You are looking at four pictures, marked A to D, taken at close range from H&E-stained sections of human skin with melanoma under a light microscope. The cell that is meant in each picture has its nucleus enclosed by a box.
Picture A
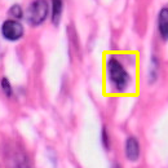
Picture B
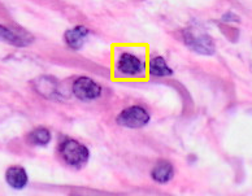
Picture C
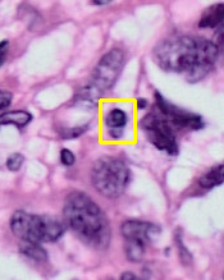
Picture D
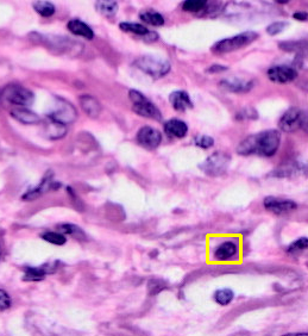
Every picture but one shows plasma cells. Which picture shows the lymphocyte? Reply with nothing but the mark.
C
